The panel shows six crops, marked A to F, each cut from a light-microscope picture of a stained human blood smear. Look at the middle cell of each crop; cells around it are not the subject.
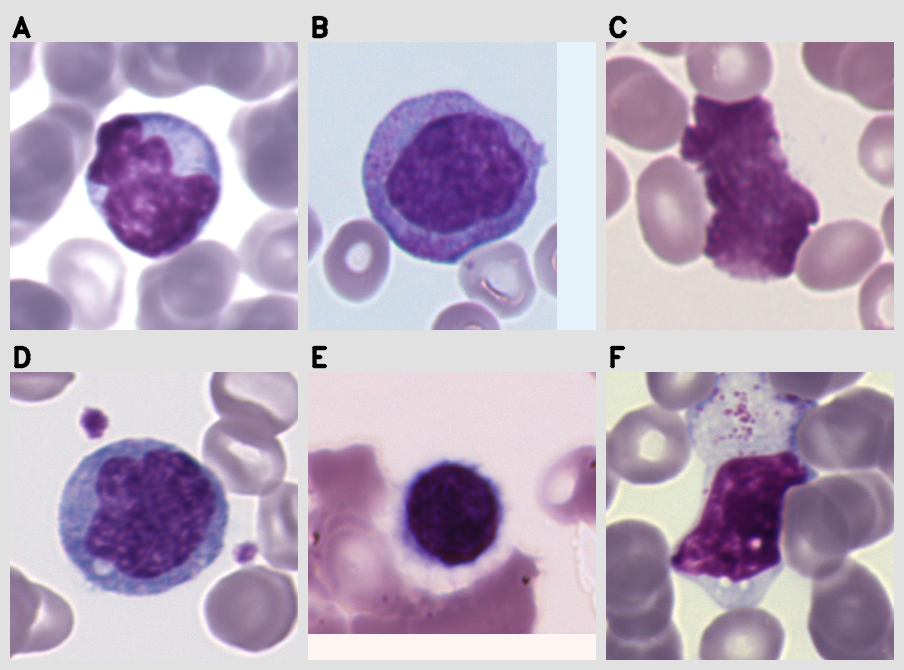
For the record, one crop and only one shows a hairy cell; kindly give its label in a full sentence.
Crop E is where a hairy cell is to be found.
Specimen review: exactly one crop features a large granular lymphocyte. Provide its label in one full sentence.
Crop F is the one in this set that shows a large granular lymphocyte.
